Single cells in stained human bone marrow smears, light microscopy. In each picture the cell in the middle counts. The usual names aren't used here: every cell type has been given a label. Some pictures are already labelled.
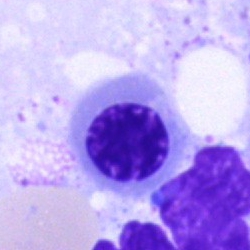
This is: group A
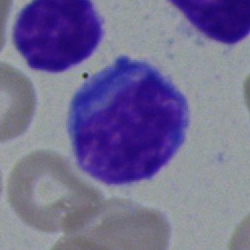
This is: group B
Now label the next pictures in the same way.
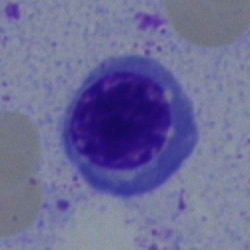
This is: group A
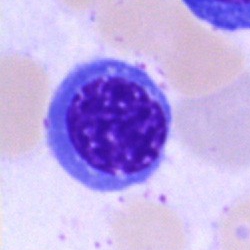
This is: group A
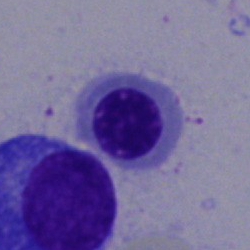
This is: group A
